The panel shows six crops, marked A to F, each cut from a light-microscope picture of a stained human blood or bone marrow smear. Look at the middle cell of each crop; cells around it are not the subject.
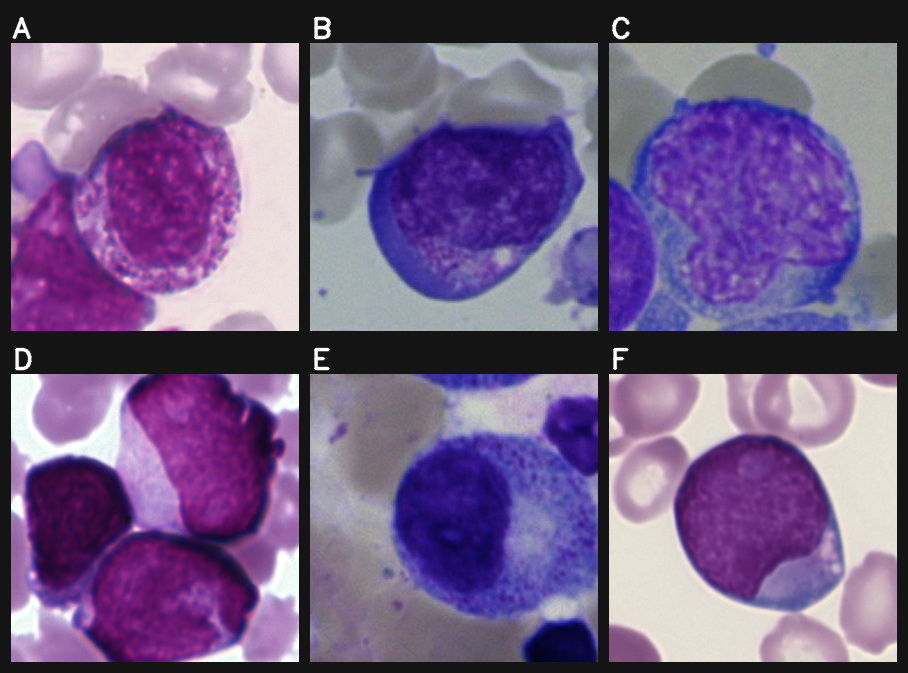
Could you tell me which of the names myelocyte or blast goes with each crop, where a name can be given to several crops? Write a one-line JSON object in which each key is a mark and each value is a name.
{"A": "myelocyte", "B": "blast", "C": "blast", "D": "blast", "E": "myelocyte", "F": "blast"}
